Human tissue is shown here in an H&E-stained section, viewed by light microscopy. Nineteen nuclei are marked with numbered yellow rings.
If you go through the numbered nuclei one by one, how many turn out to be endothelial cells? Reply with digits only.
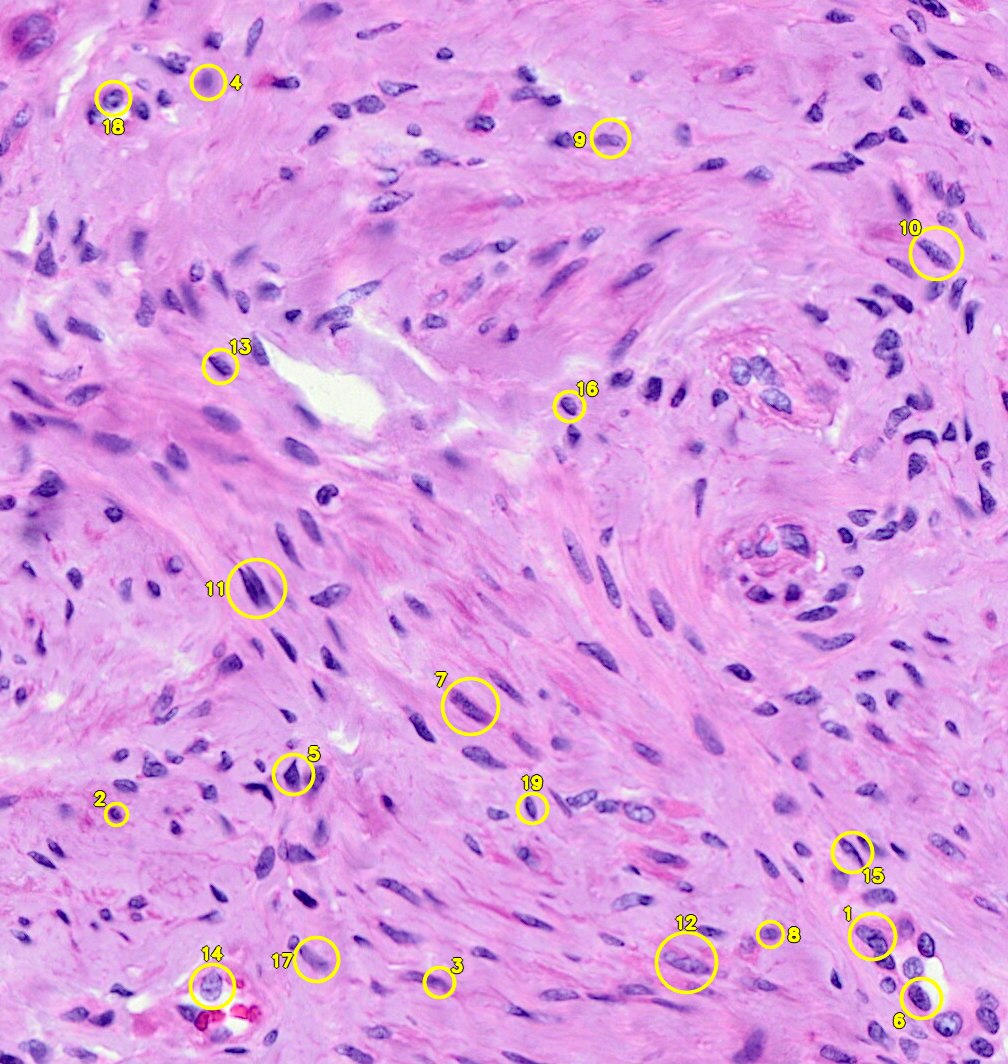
4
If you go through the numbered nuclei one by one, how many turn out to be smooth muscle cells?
5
